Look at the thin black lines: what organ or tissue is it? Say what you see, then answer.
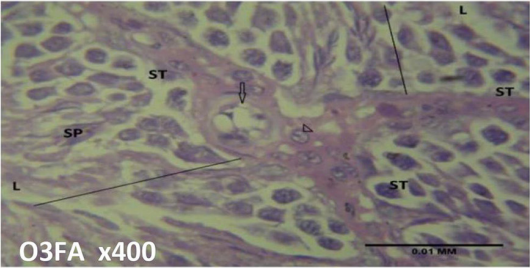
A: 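The lines run across the stacked cell layers from the tubule edge toward the lumen. Cells along the lines change from round nuclei to elongated forms near the lumen.
Hence: germinal epithelium.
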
